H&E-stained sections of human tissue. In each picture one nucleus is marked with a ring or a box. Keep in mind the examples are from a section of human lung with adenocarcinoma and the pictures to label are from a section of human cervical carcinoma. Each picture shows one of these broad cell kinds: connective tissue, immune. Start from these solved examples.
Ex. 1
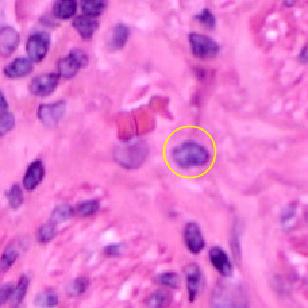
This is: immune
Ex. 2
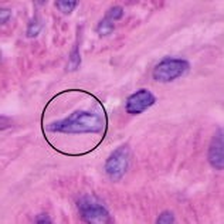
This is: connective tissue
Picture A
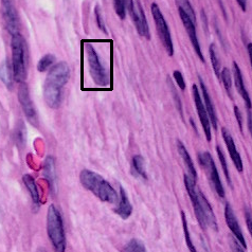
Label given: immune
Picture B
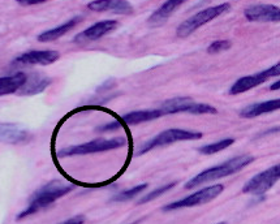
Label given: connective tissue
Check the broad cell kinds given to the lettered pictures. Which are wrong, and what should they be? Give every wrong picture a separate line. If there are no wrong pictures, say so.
A should be connective tissue, not immune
